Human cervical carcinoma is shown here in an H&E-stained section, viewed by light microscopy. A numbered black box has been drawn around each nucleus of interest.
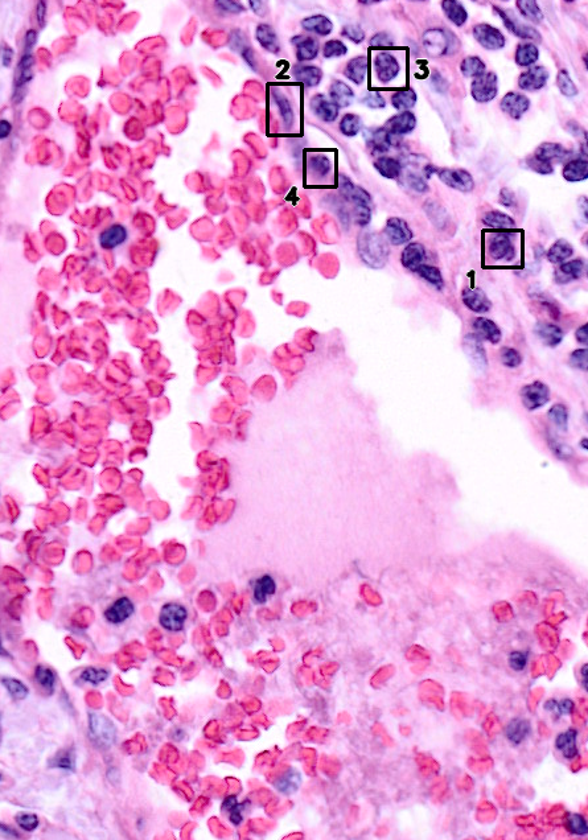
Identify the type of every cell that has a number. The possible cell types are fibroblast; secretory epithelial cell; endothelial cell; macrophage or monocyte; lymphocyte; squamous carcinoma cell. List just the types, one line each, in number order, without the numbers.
lymphocyte
endothelial cell
lymphocyte
lymphocyte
